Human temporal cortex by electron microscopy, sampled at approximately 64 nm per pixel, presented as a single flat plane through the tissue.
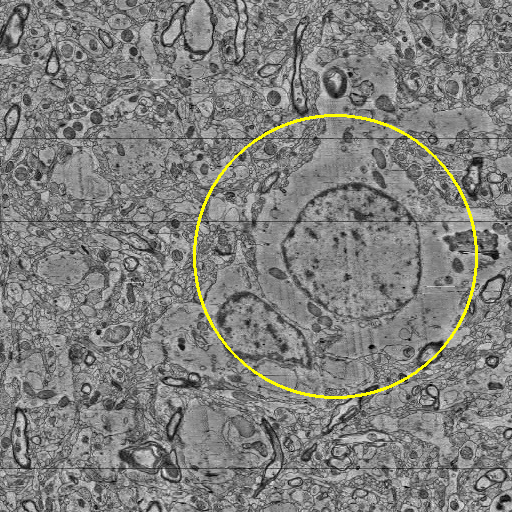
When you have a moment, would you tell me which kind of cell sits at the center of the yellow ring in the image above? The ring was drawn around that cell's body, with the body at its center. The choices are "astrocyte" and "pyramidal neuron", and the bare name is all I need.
astrocyte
